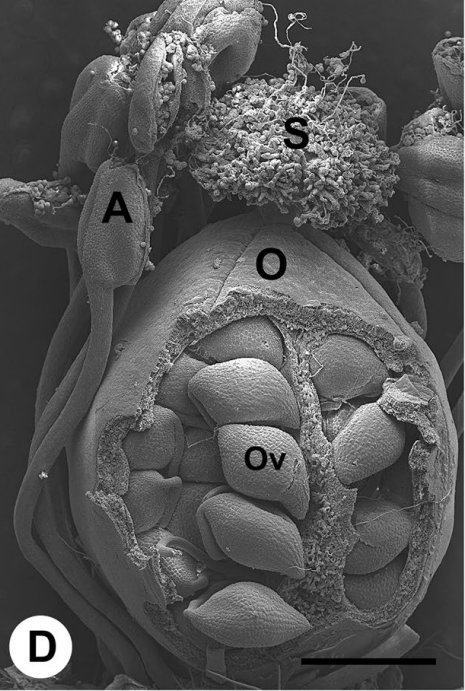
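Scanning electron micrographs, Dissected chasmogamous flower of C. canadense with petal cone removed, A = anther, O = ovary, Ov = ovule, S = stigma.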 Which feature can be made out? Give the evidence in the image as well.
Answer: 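Small rounded grains cluster on the stigma surface and along the anther edges. Fine threads emerge from the stigma.
Answer: Pollen grains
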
